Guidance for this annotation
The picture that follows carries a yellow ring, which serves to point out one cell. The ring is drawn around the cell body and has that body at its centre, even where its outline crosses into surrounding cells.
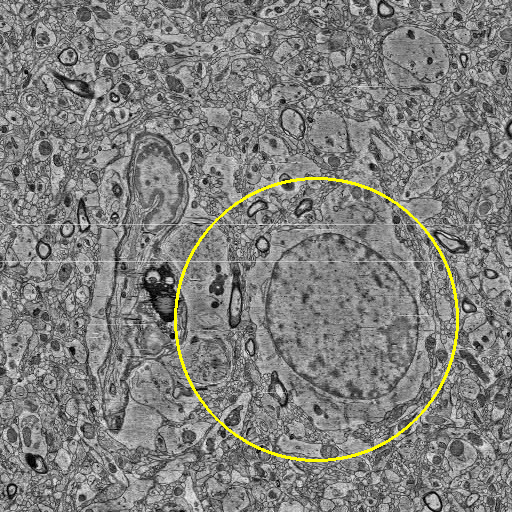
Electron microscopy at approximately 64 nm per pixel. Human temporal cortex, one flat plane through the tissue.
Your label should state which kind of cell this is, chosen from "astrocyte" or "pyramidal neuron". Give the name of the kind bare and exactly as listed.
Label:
astrocyte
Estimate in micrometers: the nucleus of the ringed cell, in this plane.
In this plane, about 11 micrometres in length and 9 in width.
